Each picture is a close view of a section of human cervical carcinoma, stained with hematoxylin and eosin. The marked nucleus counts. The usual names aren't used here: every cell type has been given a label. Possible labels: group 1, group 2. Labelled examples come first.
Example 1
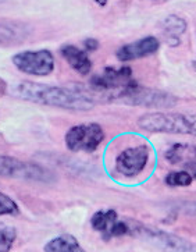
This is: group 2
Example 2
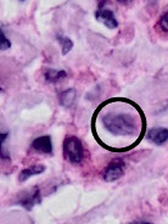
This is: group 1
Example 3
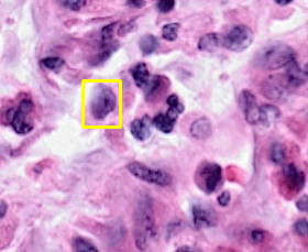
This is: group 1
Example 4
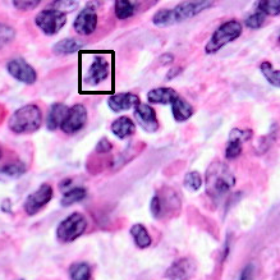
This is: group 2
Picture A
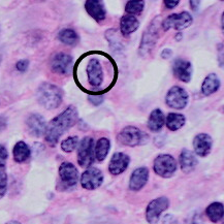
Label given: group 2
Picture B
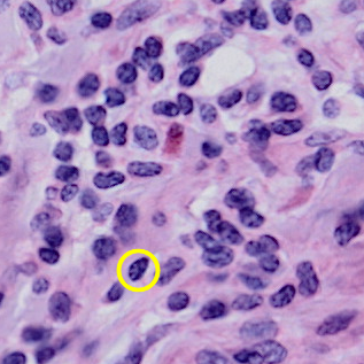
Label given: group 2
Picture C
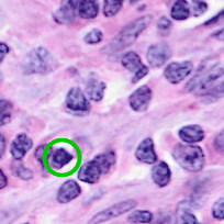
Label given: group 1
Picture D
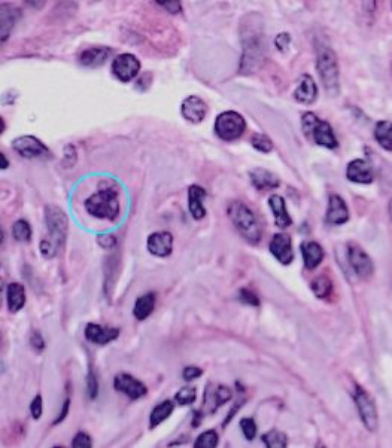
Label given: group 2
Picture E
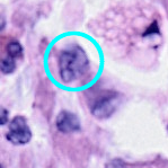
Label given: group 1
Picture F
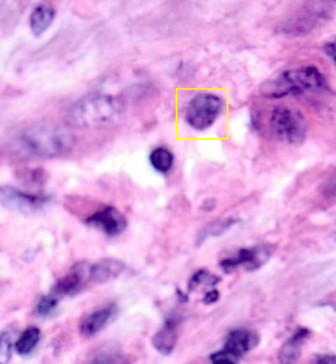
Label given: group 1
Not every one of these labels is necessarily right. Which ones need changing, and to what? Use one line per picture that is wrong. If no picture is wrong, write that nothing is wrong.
Wrong: C (group 1); correct: group 2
